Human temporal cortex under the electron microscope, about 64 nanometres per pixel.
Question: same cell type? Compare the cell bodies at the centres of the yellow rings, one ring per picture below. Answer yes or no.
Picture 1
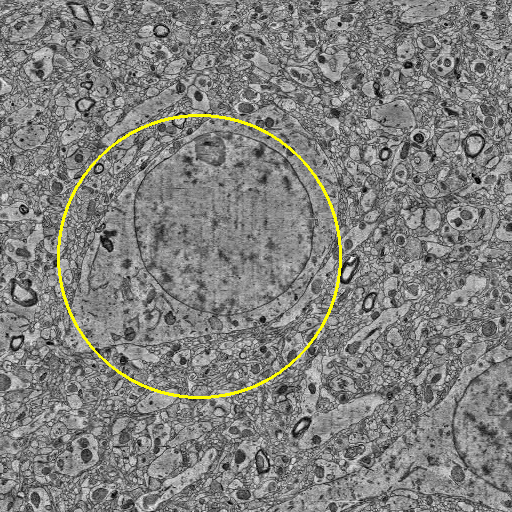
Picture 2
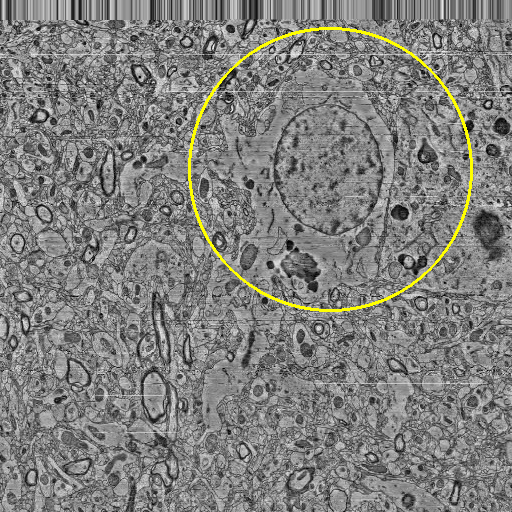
no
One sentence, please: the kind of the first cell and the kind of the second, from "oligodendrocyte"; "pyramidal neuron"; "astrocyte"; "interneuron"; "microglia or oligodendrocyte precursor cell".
The ring in the first picture surrounds a pyramidal neuron, and the ring in the second surrounds an astrocyte.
